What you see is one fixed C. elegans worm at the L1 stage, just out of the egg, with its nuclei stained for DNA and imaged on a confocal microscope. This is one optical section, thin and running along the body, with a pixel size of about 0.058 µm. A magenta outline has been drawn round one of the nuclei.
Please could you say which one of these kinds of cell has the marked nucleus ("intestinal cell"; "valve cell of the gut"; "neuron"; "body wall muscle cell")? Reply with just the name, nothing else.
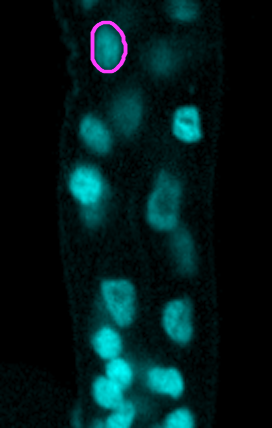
neuron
